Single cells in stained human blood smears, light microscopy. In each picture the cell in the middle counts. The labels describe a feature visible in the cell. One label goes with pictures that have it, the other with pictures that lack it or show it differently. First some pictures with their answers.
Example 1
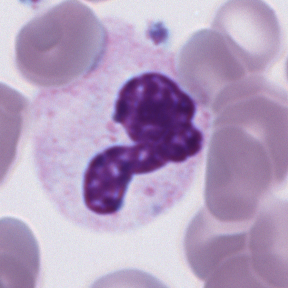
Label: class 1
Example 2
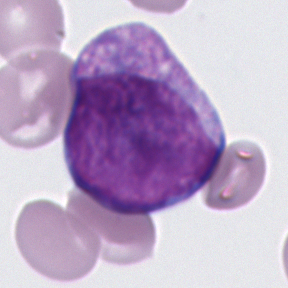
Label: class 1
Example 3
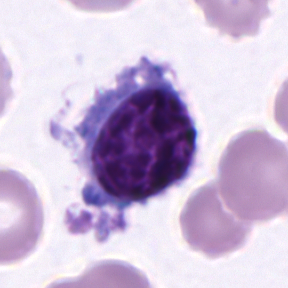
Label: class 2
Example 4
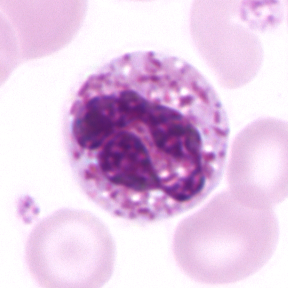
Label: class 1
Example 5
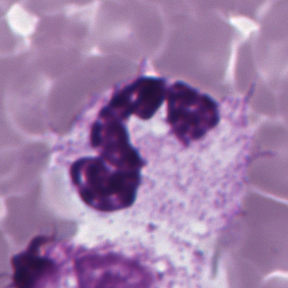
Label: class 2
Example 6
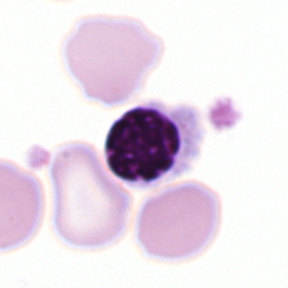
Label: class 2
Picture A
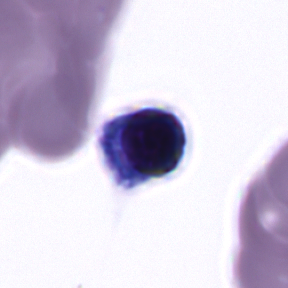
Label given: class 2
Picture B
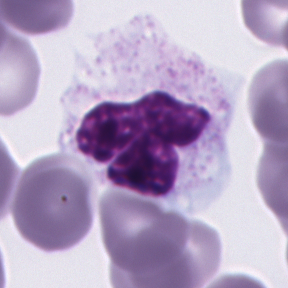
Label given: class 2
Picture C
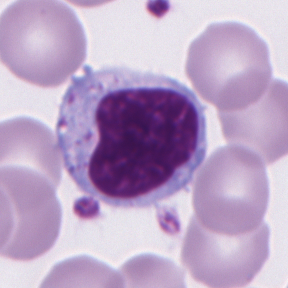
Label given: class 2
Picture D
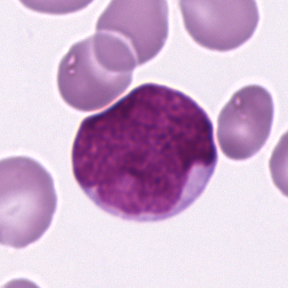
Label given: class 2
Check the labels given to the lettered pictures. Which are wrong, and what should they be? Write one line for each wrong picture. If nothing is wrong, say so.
D is labelled class 2; correct label: class 1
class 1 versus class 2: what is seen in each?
In class 1: smooth outline. In class 2: ragged outline or projections.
